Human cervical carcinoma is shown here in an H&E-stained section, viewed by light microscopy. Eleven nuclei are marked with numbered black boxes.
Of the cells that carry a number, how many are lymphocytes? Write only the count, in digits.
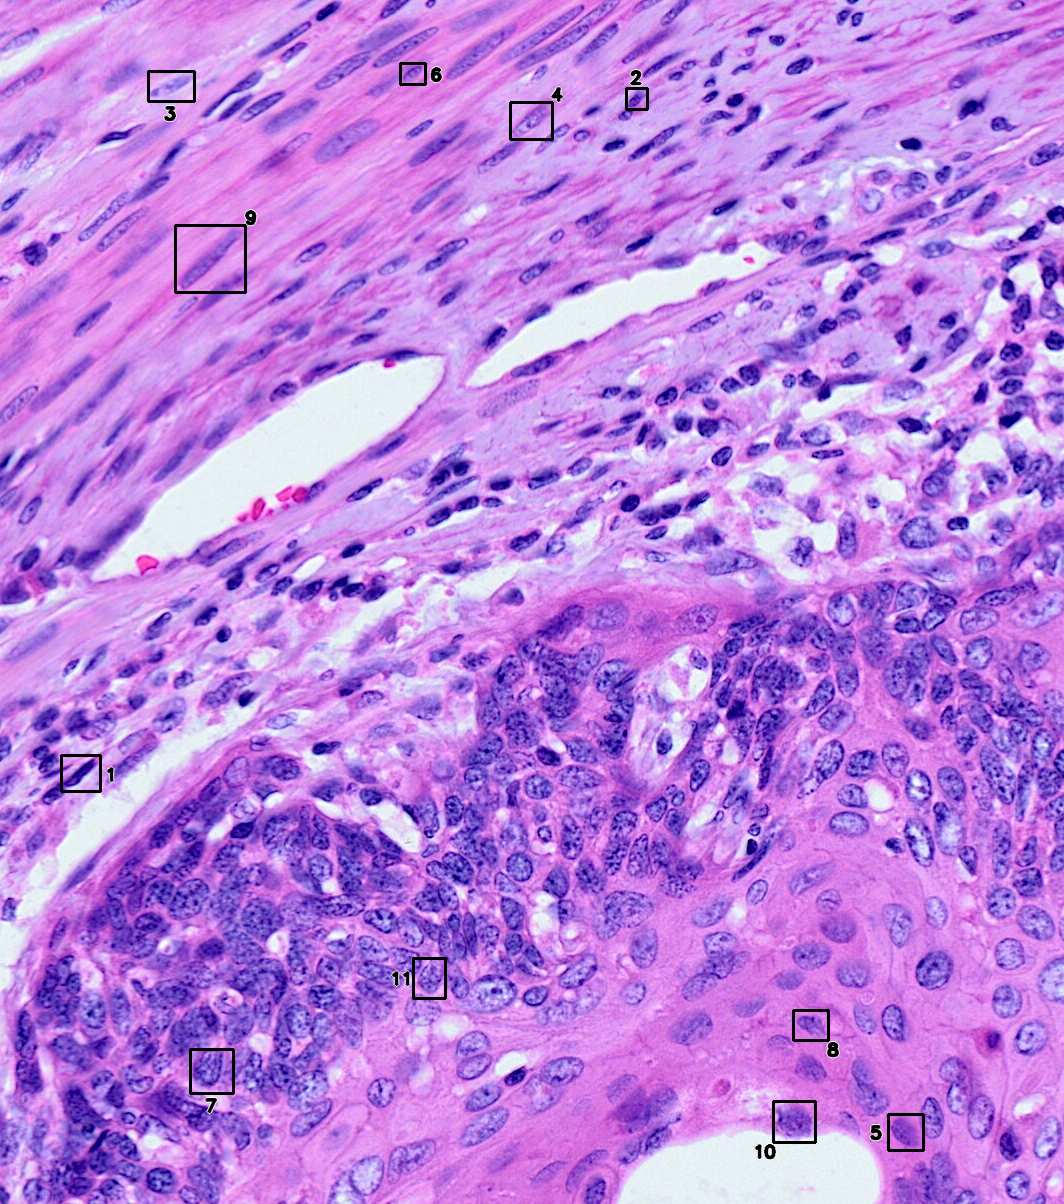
1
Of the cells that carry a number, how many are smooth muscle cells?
4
